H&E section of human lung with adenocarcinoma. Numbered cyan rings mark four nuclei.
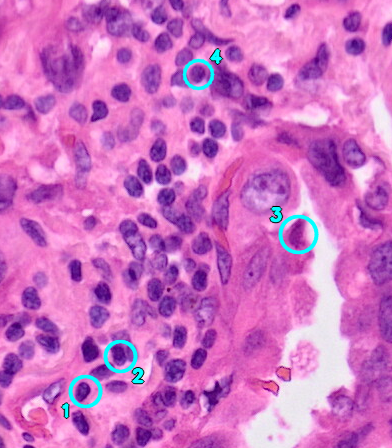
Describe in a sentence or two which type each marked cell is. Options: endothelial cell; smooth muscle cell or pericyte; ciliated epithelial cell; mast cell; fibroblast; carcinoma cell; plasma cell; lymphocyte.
Cells 1, 2 and 4 are lymphocytes. Cell 3 is a carcinoma cell.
